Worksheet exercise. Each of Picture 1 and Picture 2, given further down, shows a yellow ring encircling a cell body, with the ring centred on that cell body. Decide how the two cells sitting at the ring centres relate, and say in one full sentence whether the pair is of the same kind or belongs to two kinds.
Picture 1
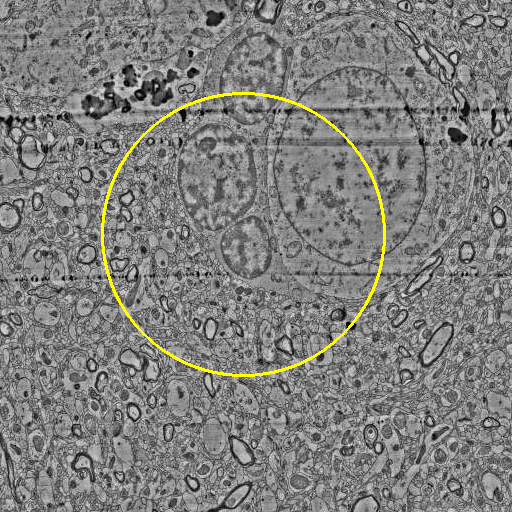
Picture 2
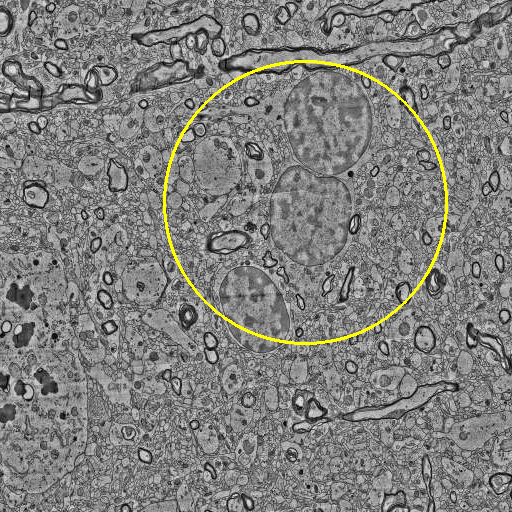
The cells at the ring centres in Picture 1 and Picture 2 are of the same kind.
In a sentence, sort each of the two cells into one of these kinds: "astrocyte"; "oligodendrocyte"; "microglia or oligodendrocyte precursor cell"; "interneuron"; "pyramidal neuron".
The cell at the ring centre is an oligodendrocyte in both pictures.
